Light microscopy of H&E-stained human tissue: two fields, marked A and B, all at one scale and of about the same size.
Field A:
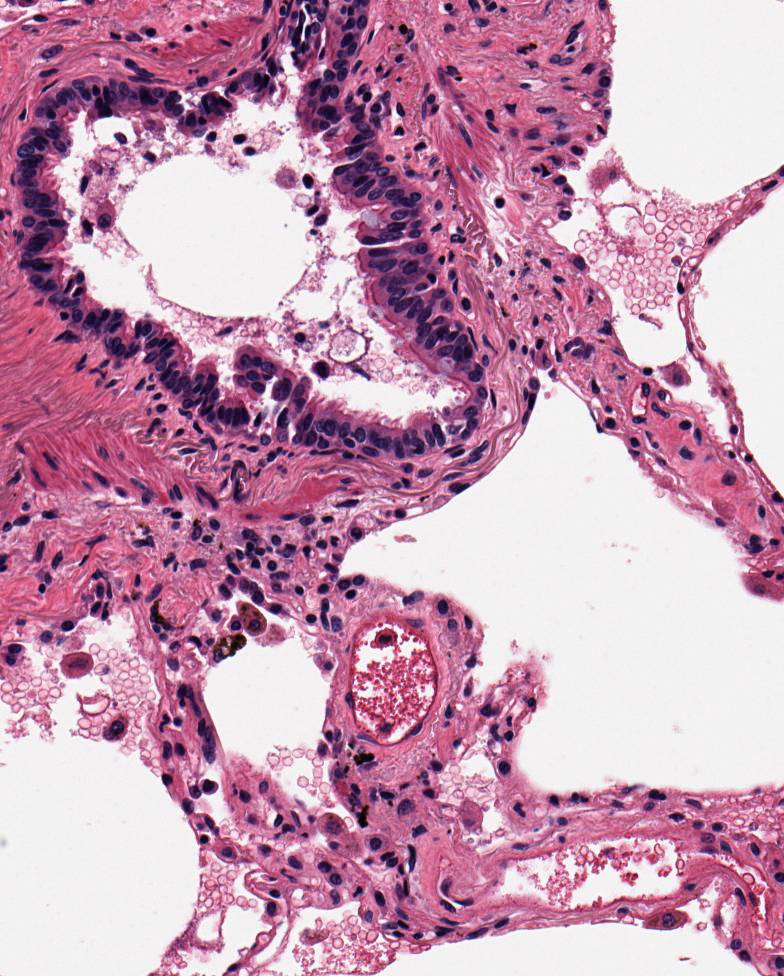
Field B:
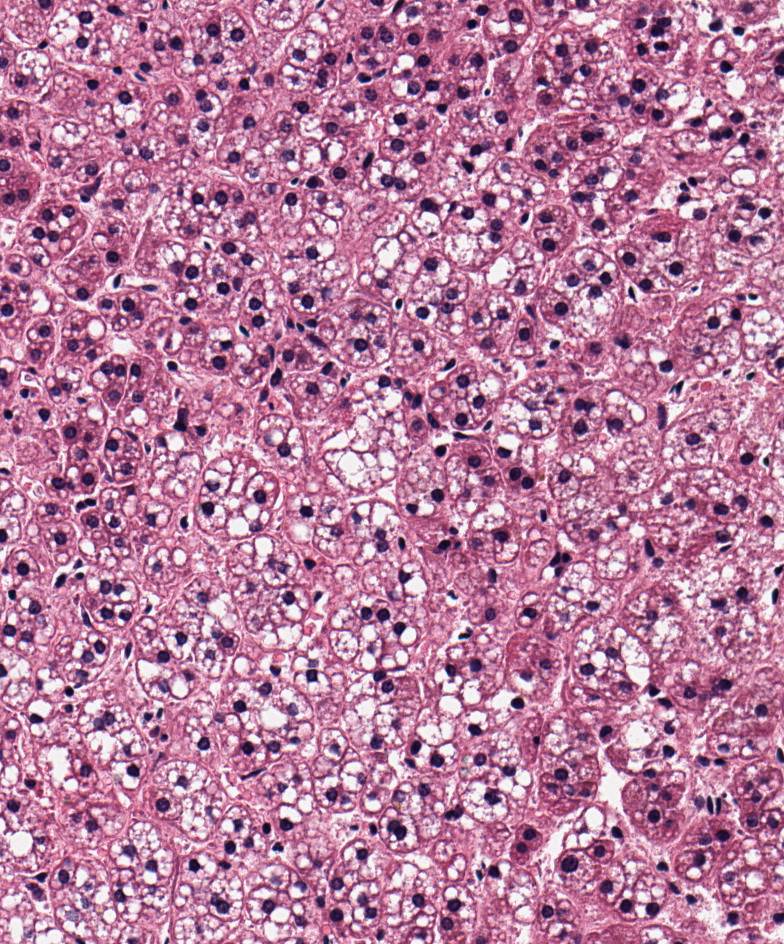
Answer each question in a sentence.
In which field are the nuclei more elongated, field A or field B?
The nuclei are more elongated in field A.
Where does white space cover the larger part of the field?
Field A has more white space.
